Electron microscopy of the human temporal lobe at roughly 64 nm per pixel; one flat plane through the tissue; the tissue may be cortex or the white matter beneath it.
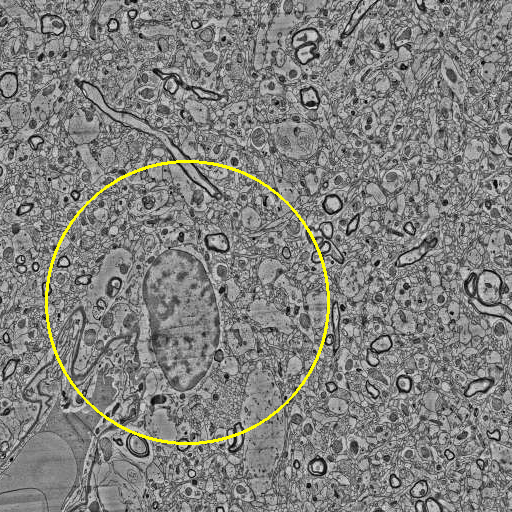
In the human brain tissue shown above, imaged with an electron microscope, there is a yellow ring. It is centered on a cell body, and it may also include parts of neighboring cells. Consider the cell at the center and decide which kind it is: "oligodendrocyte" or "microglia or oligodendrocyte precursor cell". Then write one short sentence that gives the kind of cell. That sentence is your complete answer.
This centered cell body is that of a microglial cell or oligodendrocyte precursor cell.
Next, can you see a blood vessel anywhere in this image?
Yes, a blood vessel is present in this picture.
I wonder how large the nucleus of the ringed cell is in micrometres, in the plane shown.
In this plane the nucleus is roughly 9 by 5 micrometres, clearly longer than it is wide.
